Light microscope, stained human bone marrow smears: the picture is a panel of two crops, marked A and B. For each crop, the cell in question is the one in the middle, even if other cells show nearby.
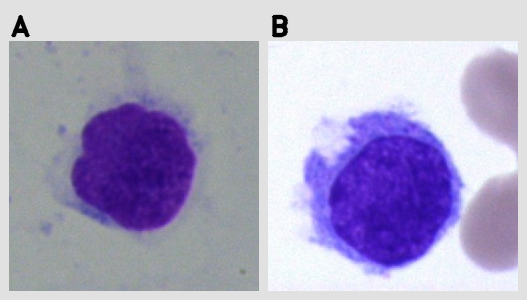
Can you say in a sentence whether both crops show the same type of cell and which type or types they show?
No, crop A matches a hairy cell and crop B matches a blast.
